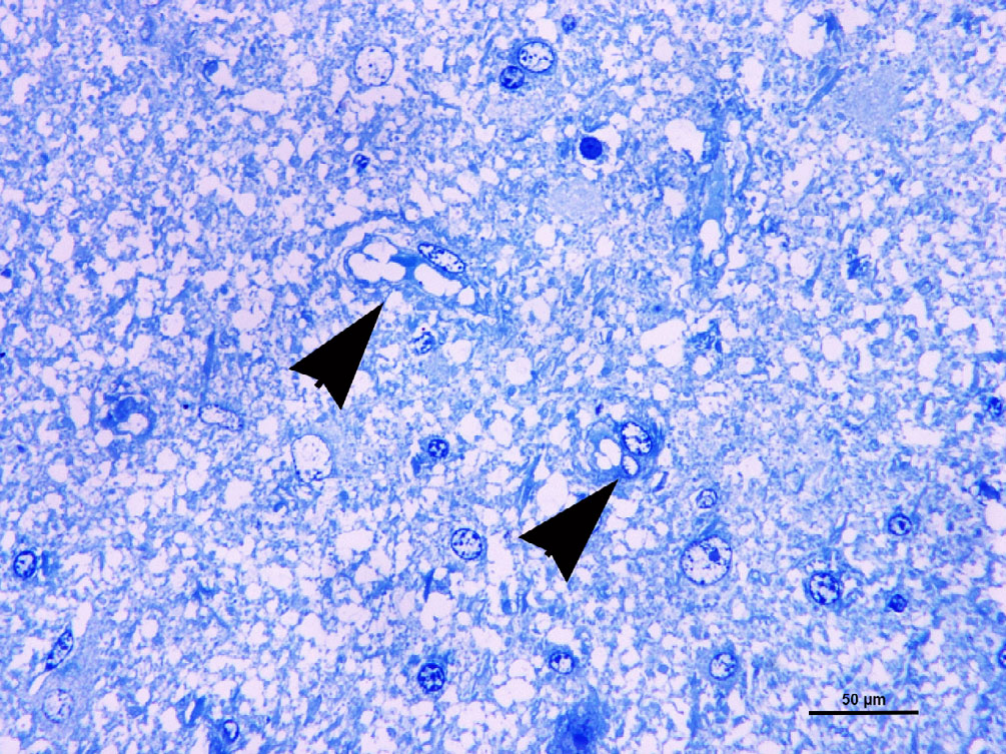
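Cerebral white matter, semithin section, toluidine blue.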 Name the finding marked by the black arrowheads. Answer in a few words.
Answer: Cytoplasm vacuoles.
